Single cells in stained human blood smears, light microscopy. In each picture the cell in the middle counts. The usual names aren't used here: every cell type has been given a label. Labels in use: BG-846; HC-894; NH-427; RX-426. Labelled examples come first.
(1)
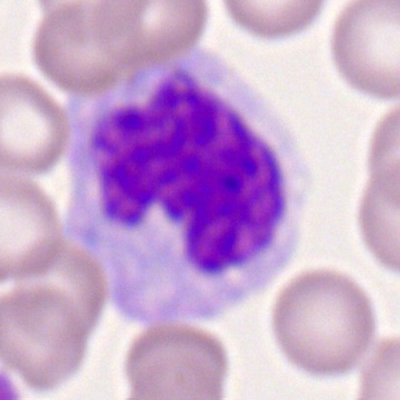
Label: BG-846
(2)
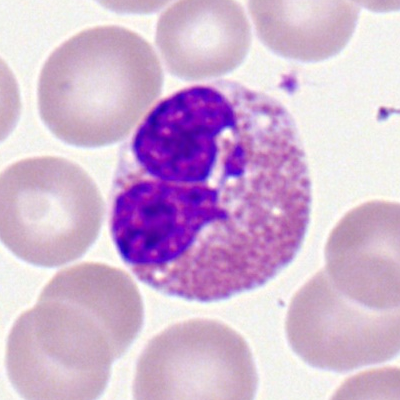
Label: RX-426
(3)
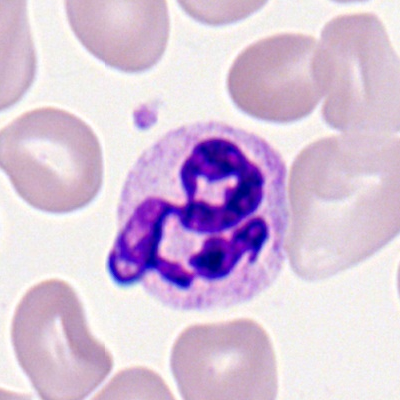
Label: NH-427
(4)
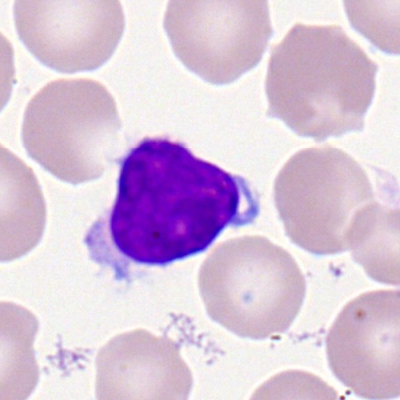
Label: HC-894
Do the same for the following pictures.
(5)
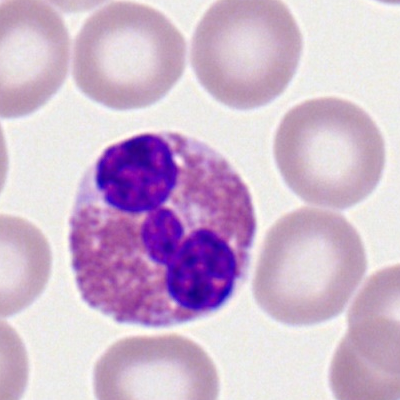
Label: RX-426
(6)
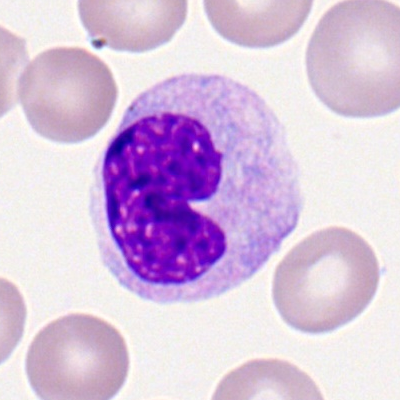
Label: BG-846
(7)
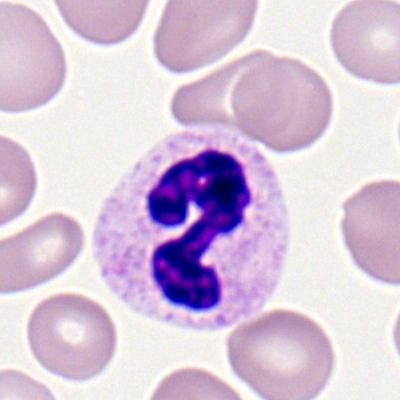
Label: NH-427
